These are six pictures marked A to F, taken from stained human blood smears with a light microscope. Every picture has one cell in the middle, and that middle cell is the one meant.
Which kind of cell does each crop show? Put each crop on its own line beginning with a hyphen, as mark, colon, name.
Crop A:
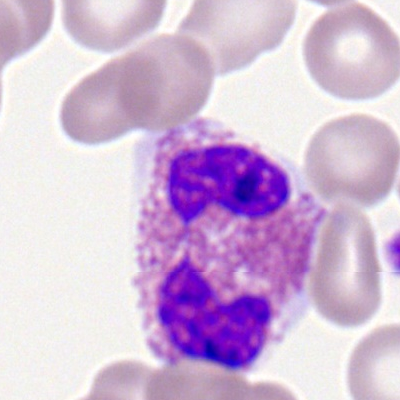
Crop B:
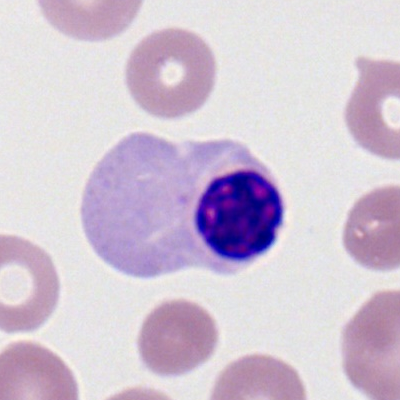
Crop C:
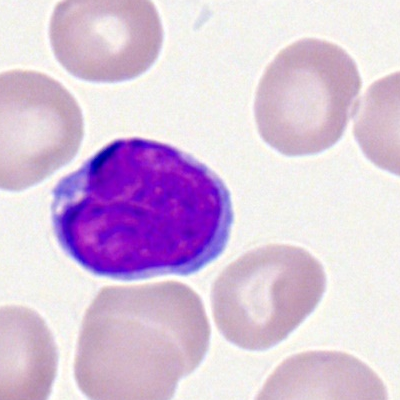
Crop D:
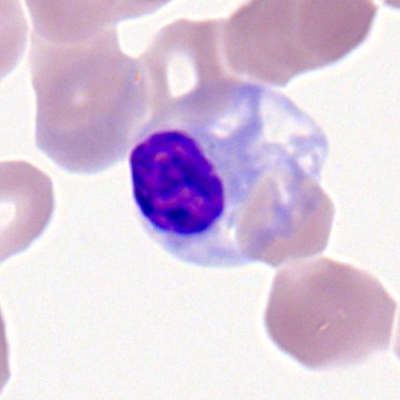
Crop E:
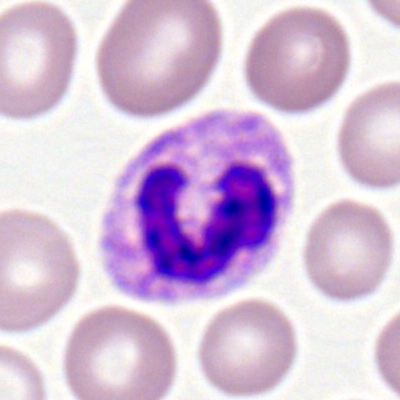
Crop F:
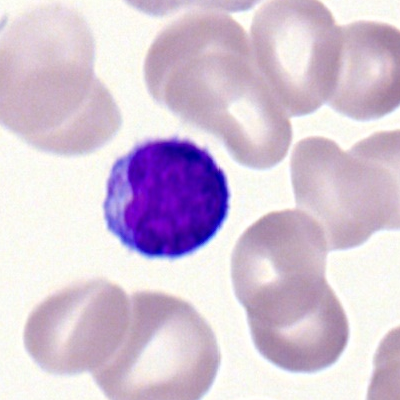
- A: eosinophil
- B: erythroblast
- C: lymphocyte
- D: erythroblast
- E: band neutrophil
- F: lymphocyte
